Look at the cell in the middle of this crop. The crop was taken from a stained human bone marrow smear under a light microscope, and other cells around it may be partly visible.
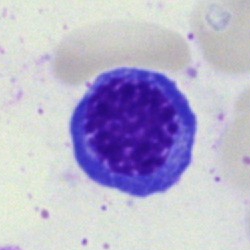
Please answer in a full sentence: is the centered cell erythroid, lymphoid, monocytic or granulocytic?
The erythroid lineage includes the cell at the center of the crop.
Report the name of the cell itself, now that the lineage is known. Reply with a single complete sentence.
The cell in the exact centre of the crop is an erythroblast.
